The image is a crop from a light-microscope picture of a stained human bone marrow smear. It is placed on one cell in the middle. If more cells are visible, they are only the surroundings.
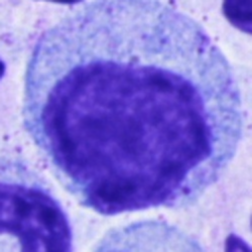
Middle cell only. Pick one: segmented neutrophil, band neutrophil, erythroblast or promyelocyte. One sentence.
Classified as a promyelocyte is the cell in the middle of this crop.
